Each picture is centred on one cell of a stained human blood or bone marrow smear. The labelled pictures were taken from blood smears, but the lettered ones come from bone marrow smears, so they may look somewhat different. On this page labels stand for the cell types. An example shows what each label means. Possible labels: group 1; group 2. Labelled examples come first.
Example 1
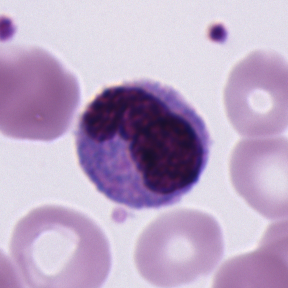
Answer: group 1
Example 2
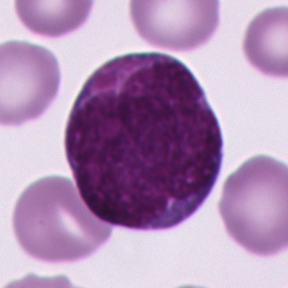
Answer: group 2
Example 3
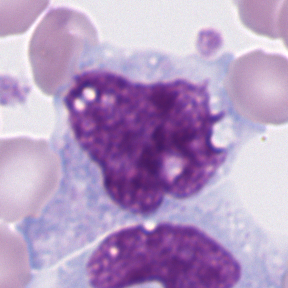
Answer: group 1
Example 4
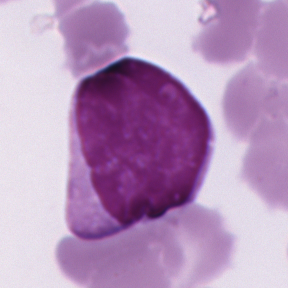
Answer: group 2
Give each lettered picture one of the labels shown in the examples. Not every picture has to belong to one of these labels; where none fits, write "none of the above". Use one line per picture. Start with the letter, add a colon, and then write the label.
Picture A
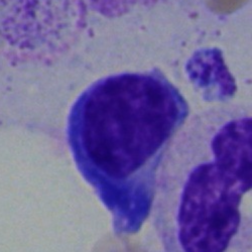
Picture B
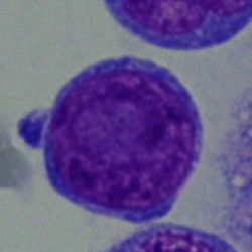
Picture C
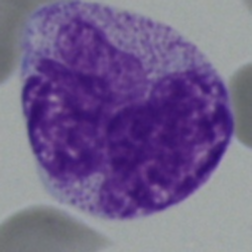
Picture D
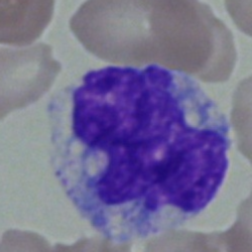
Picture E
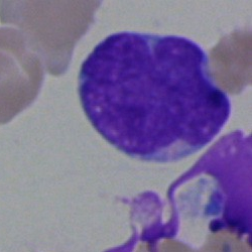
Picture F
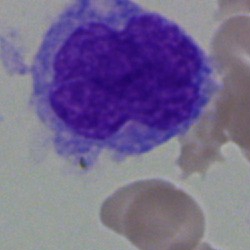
A: none of the above
B: group 2
C: group 1
D: group 1
E: group 2
F: group 1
